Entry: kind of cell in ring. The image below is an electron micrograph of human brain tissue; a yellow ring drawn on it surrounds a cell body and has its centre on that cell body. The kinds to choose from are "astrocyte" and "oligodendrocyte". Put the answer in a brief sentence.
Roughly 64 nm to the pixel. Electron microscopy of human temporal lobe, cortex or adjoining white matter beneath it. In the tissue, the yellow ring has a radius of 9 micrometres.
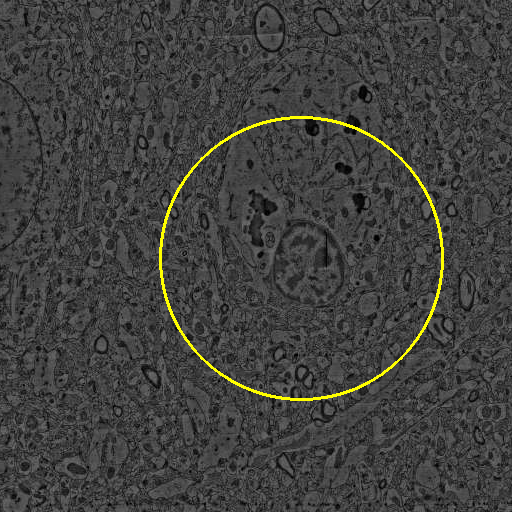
The ring has been drawn around an oligodendrocyte.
